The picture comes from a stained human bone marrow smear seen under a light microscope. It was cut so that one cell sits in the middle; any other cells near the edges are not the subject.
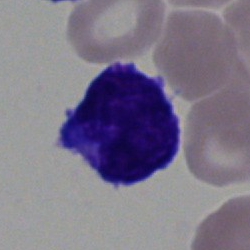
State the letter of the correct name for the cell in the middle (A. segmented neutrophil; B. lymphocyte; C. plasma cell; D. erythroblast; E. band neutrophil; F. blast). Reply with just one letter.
F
